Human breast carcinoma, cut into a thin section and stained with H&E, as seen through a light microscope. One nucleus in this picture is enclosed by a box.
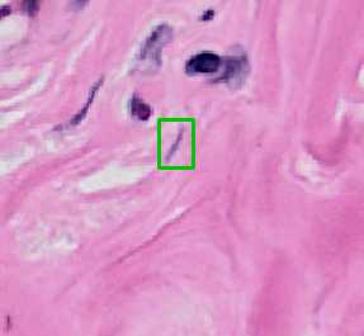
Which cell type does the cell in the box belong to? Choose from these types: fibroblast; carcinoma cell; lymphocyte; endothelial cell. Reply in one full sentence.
Cytologically, the cell in the box is to be regarded as a fibroblast.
